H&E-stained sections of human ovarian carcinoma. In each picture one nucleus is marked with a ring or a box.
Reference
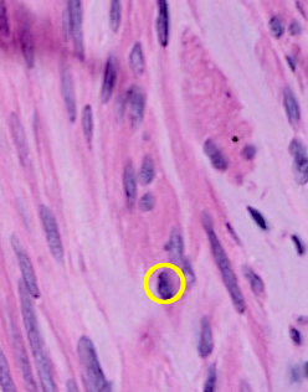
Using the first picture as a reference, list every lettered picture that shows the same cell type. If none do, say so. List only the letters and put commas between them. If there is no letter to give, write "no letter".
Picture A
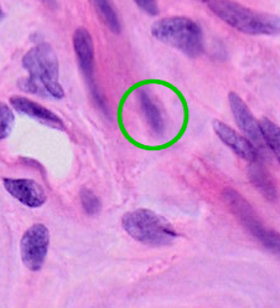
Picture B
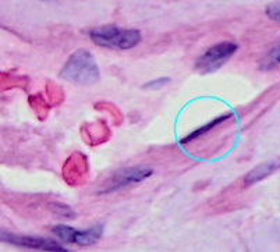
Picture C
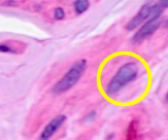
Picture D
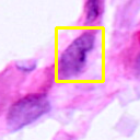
A, C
